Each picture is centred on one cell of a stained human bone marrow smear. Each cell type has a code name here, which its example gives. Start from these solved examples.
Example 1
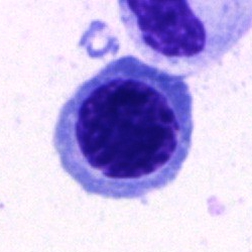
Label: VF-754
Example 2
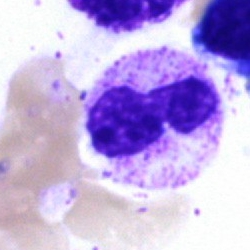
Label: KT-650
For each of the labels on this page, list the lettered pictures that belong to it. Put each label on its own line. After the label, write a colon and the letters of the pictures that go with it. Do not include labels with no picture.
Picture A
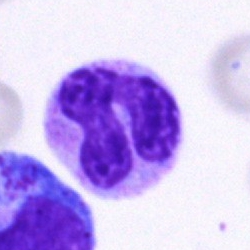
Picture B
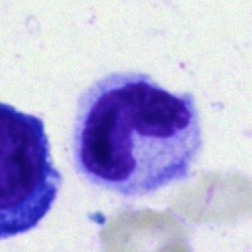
KT-650: A, B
